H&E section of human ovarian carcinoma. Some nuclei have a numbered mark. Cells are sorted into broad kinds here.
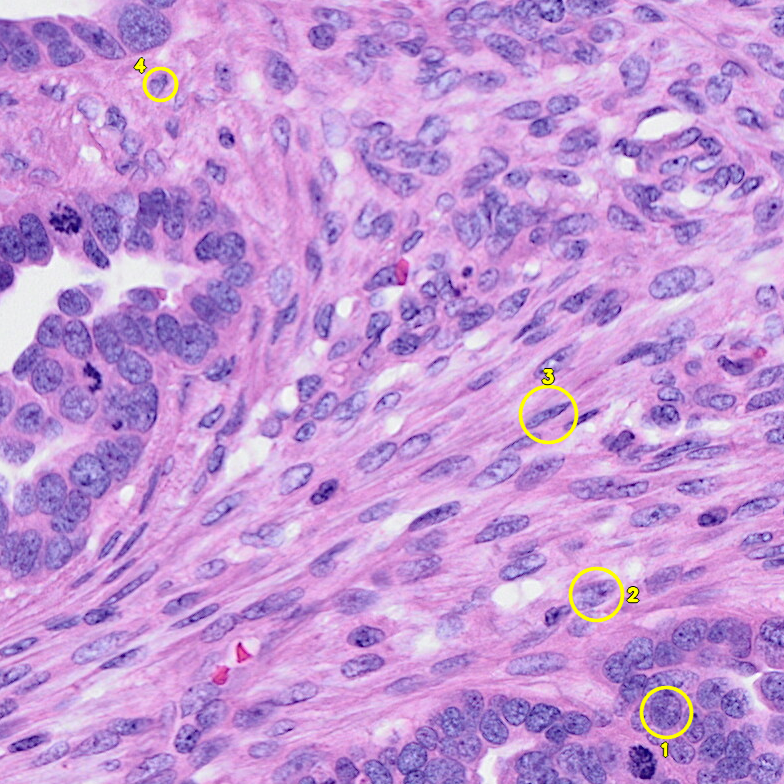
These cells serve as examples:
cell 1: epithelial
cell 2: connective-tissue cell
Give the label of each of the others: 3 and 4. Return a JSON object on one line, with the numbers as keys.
{"3": "connective-tissue cell", "4": "connective-tissue cell"}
